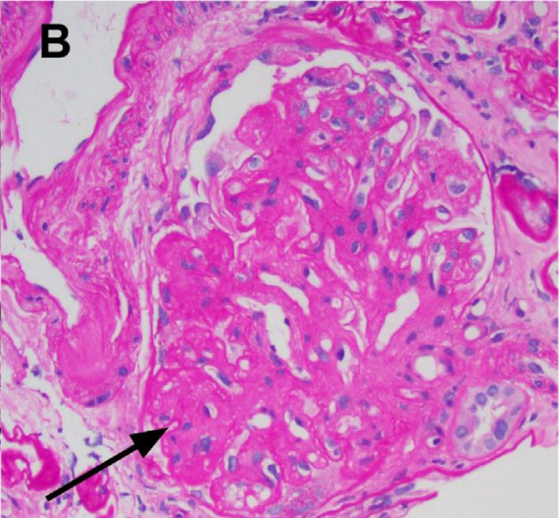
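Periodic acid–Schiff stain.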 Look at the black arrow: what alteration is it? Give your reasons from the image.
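Segmental glomerulosclerosis. One segment of the glomerular tuft is filled by dense, bright magenta matrix. Capillary lumina are obliterated in that segment while others remain open.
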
